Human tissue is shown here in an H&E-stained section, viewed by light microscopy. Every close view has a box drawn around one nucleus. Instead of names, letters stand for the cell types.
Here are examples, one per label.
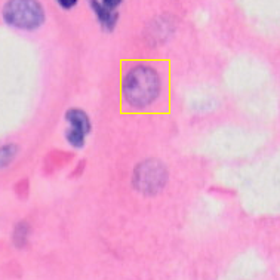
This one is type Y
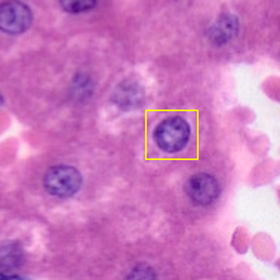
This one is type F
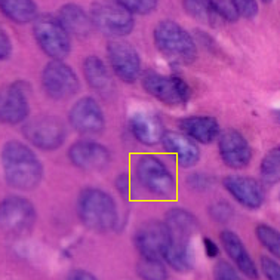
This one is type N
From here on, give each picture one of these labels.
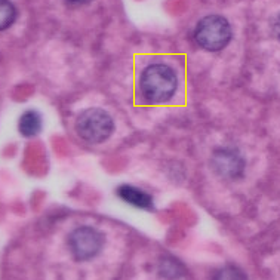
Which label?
type F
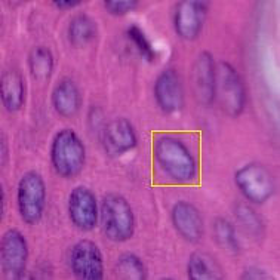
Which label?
type N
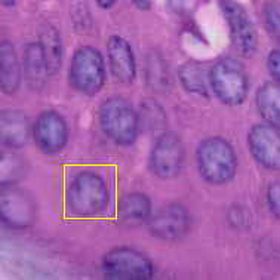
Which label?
type N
